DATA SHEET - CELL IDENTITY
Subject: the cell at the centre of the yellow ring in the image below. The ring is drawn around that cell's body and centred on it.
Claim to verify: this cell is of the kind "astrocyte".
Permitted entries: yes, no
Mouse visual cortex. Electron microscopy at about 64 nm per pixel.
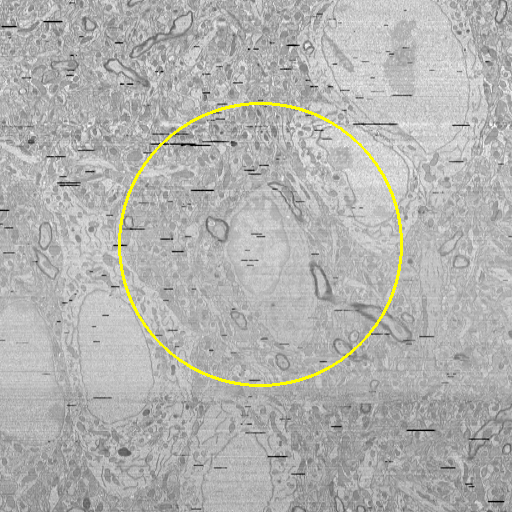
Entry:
no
